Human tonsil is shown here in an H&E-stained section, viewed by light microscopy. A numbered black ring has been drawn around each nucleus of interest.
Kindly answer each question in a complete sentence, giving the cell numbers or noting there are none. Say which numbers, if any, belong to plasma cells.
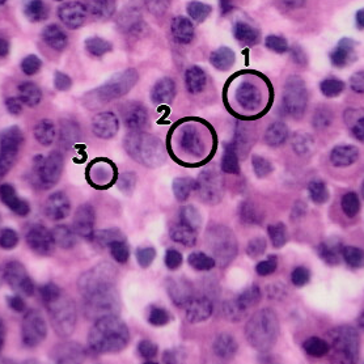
The cells to which the numbers 1 and 2 refer are plasma cells.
